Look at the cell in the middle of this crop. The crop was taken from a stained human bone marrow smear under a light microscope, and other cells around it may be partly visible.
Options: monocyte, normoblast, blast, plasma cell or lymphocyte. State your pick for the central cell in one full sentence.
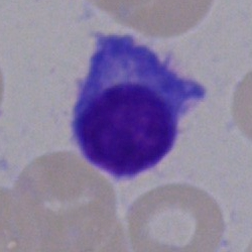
The cell featured at the centre of this crop is a plasma cell.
